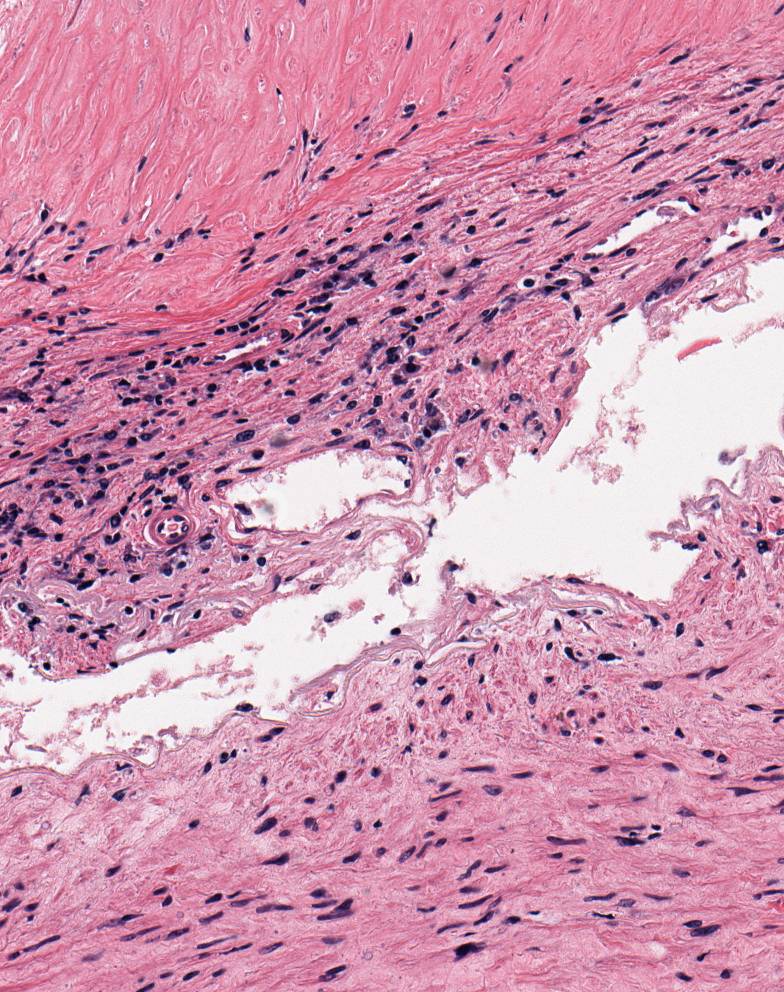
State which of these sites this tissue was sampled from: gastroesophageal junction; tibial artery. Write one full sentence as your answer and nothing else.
The tissue in this section derives from the tibial artery.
